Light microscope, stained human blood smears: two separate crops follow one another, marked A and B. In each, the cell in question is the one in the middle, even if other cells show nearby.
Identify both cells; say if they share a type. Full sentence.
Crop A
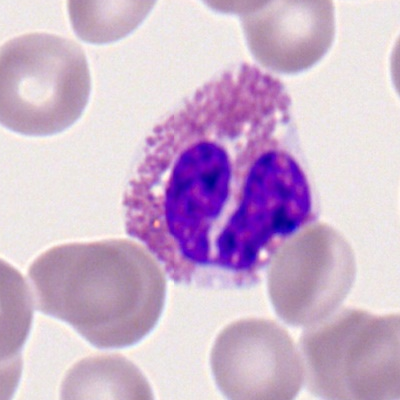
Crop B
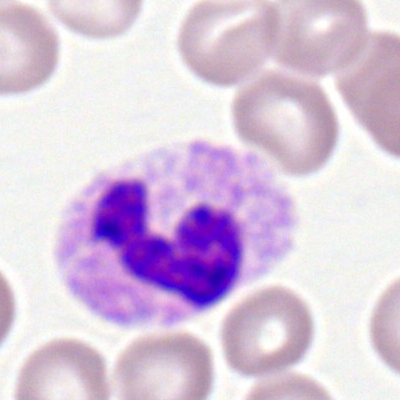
No, crop A displays an eosinophil and crop B displays a segmented neutrophil.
